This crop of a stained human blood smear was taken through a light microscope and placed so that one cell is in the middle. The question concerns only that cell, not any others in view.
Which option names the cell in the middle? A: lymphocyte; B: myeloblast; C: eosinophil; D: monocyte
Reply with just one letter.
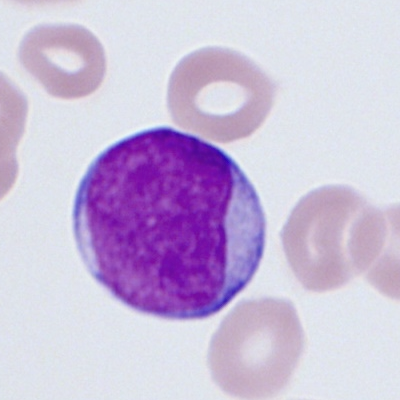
B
